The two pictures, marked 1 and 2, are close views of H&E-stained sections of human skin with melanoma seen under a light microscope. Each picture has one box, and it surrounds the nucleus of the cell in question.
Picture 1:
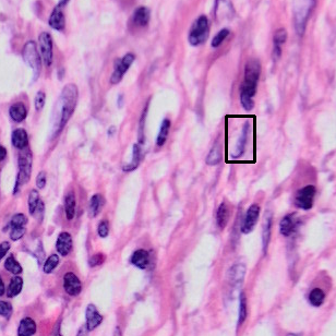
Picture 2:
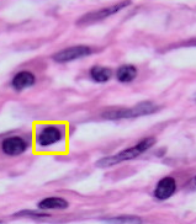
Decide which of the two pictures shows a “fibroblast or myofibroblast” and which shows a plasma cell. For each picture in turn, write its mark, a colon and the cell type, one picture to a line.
1: fibroblast or myofibroblast
2: plasma cell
